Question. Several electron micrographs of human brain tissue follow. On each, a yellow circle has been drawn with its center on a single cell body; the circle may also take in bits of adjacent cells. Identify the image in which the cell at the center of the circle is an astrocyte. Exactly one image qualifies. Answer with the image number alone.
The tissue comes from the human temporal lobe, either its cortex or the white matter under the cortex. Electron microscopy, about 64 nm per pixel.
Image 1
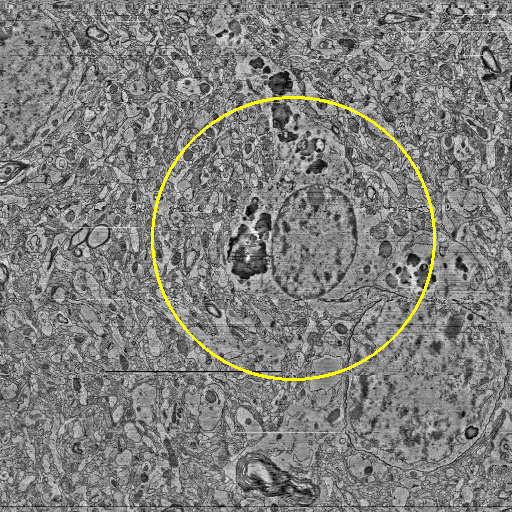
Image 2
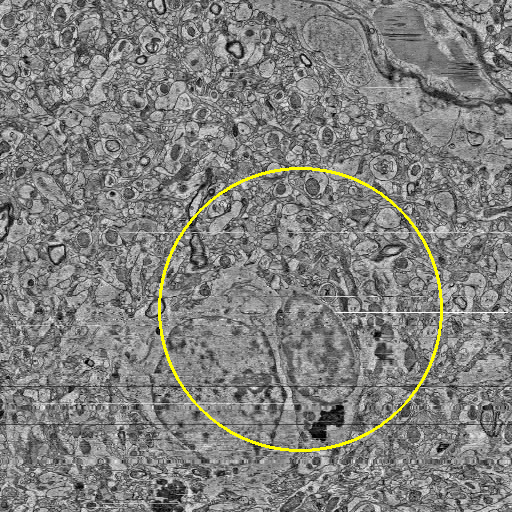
1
